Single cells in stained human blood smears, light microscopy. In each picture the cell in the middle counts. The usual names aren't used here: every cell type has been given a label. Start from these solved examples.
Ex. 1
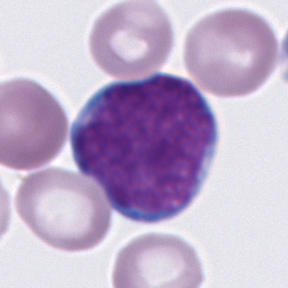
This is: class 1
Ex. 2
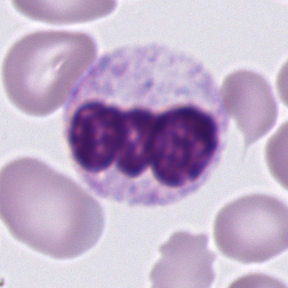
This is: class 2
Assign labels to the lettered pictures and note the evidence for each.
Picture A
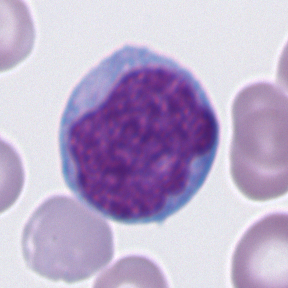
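Answer: class 1. The cytoplasm forms a narrow pale blue rim that is widest at the upper left.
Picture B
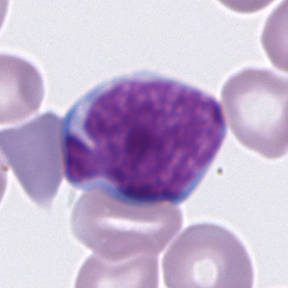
Answer: class 1. The cytoplasm forms only a thin rim around the nucleus.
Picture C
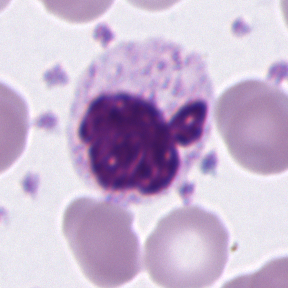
Answer: class 2. The cytoplasm is pale, nearly colourless with a faint pink tint.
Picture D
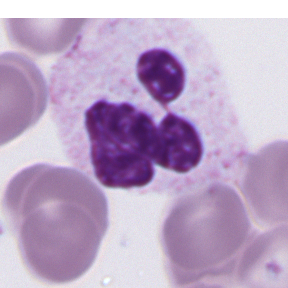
Answer: class 2. The cytoplasm is abundant and pale pinkish.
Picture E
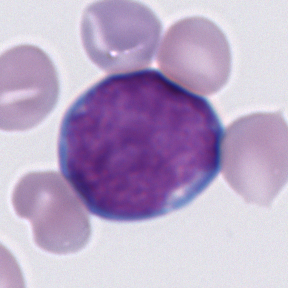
Answer: class 1. The cytoplasm is blue.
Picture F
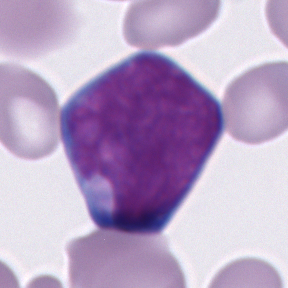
Answer: class 1. The cytoplasm stains deep blue.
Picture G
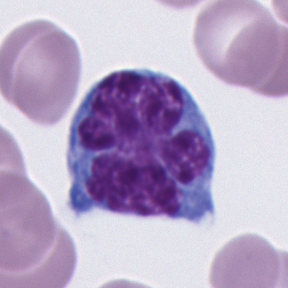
Answer: class 1. The cytoplasm forms only a narrow rim around the nucleus.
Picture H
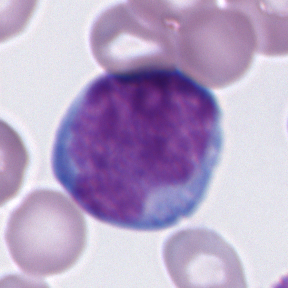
Answer: class 1. The cytoplasm forms a narrow rim that is widest at the lower right.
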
